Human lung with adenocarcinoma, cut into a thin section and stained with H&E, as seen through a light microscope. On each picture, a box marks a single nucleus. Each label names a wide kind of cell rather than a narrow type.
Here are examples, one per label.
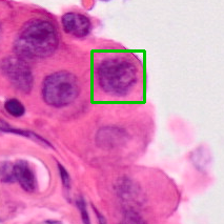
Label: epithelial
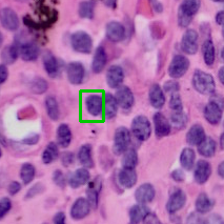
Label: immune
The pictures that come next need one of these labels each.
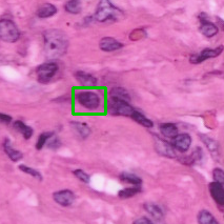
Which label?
immune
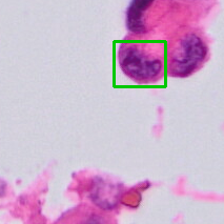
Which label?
epithelial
